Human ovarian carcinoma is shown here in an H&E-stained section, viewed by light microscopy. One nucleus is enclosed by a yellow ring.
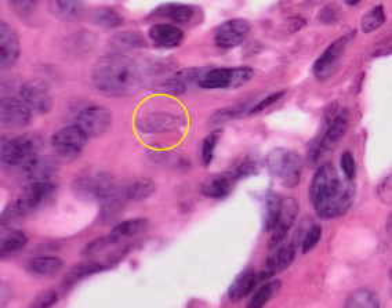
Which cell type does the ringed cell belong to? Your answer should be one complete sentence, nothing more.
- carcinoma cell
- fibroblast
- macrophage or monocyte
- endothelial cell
For cell typing purposes, the ringed cell is an endothelial cell.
